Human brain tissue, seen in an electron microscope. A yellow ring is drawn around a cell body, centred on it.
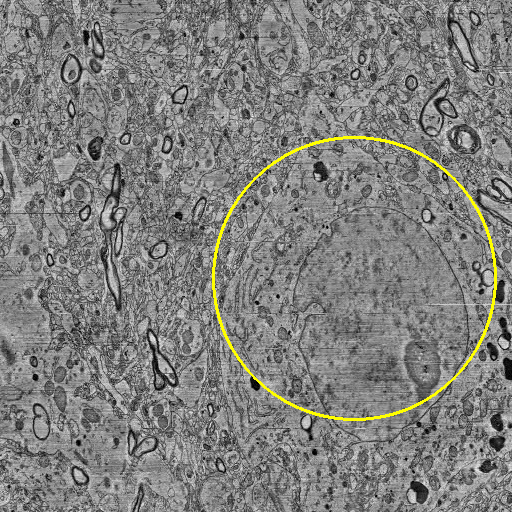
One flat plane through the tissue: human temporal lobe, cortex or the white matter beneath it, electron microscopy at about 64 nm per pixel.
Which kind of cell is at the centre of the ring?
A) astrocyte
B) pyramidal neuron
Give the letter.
B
